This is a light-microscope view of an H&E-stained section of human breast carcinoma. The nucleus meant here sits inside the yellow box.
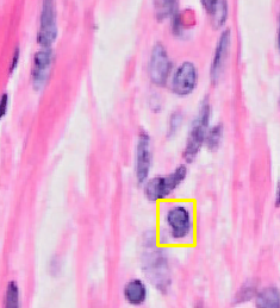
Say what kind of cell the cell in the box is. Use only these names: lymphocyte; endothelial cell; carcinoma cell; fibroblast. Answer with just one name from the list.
lymphocyte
